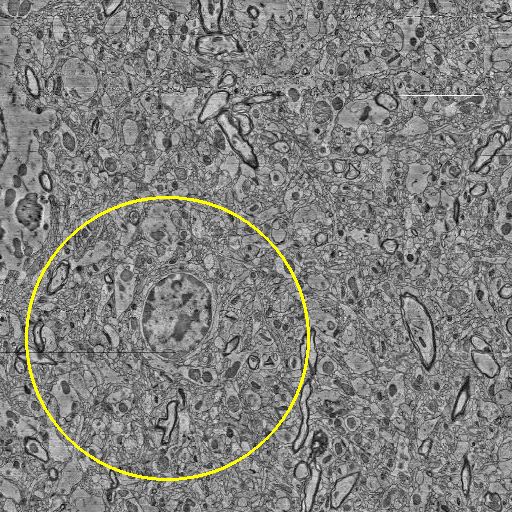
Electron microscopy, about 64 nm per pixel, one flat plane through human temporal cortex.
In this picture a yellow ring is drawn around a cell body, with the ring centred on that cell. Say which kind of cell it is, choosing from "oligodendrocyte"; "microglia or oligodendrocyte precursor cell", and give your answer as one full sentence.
Here it is a microglial cell or oligodendrocyte precursor cell that sits at the centre of the drawn yellow ring.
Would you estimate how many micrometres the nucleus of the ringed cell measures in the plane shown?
In this plane, the nucleus is roughly 6 by 4 micrometres.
